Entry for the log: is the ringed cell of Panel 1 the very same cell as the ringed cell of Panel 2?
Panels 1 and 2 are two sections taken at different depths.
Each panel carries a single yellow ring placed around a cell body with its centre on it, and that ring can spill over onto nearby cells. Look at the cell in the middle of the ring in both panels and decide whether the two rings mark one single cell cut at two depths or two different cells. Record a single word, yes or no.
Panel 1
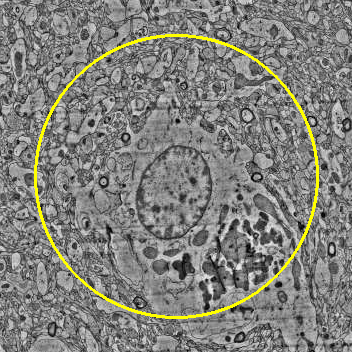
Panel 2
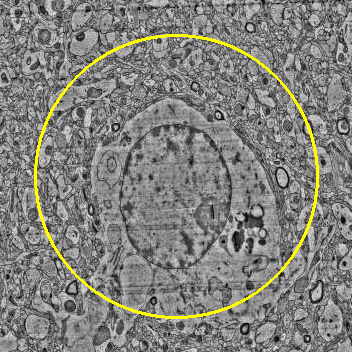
yes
